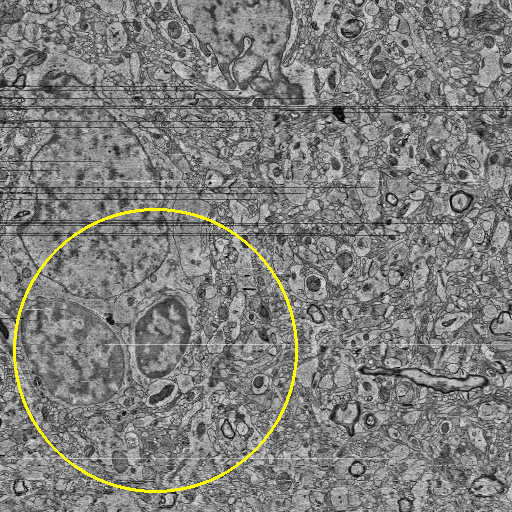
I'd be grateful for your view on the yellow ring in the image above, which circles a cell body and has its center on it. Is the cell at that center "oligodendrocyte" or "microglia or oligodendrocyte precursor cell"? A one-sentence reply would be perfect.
The cell at the center of the yellow ring is a microglial cell or oligodendrocyte precursor cell.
